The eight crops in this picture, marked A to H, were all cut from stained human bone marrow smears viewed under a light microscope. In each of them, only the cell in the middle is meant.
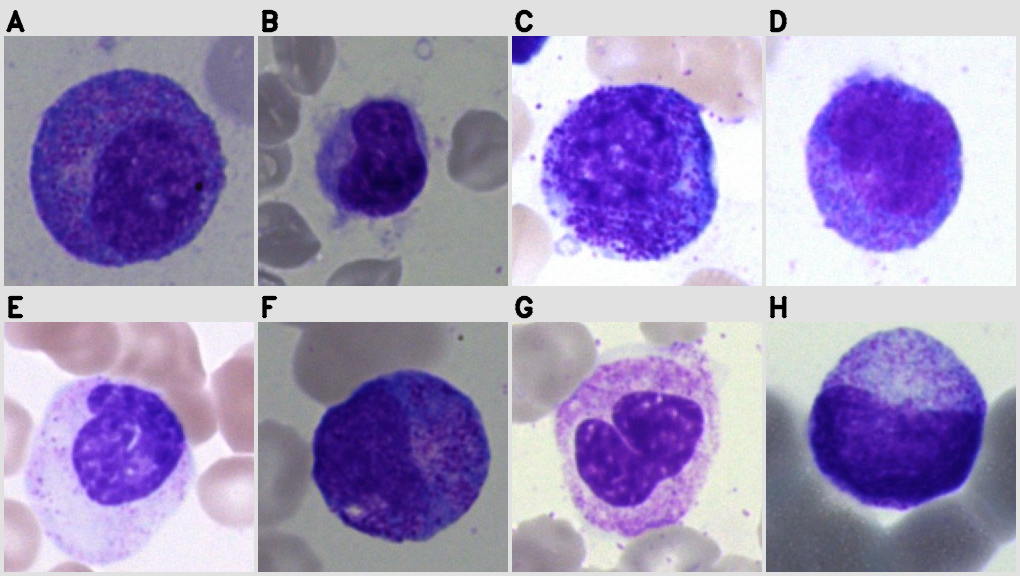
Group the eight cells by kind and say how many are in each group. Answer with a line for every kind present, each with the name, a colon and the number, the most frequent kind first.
promyelocyte: 5
band neutrophil: 2
hairy cell: 1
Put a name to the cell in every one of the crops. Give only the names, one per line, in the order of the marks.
promyelocyte
hairy cell
promyelocyte
promyelocyte
band neutrophil
promyelocyte
band neutrophil
promyelocyte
